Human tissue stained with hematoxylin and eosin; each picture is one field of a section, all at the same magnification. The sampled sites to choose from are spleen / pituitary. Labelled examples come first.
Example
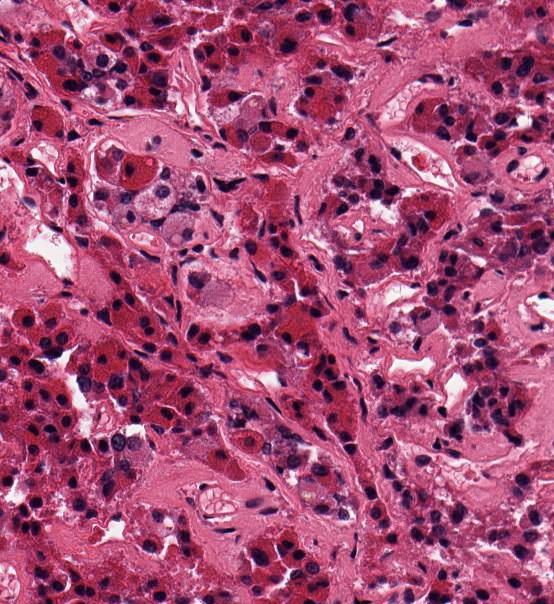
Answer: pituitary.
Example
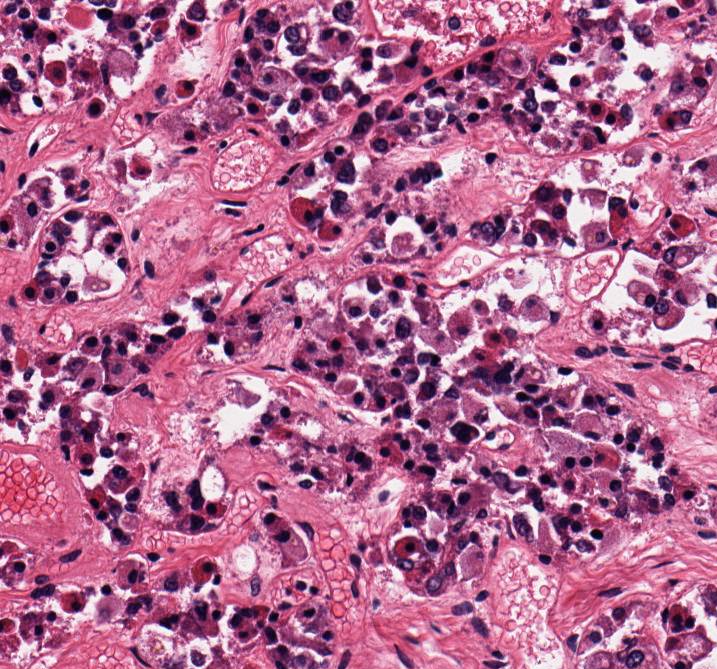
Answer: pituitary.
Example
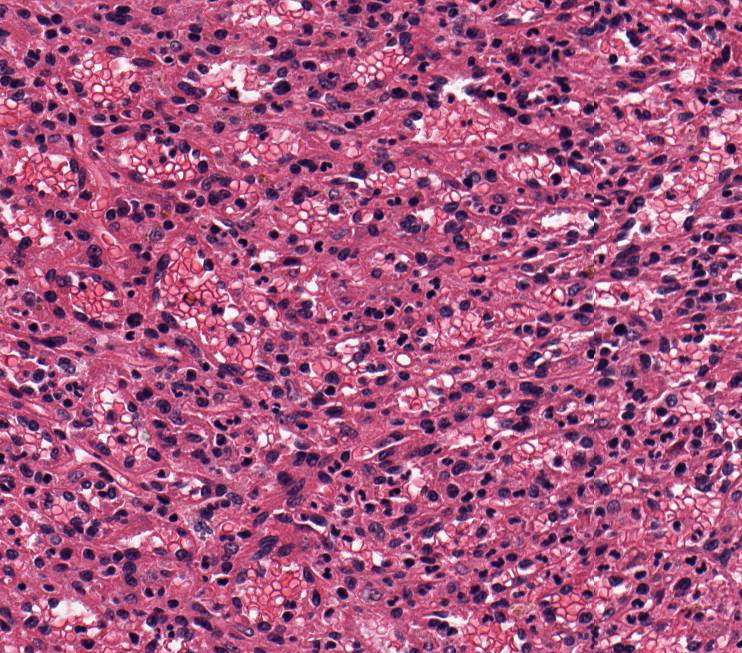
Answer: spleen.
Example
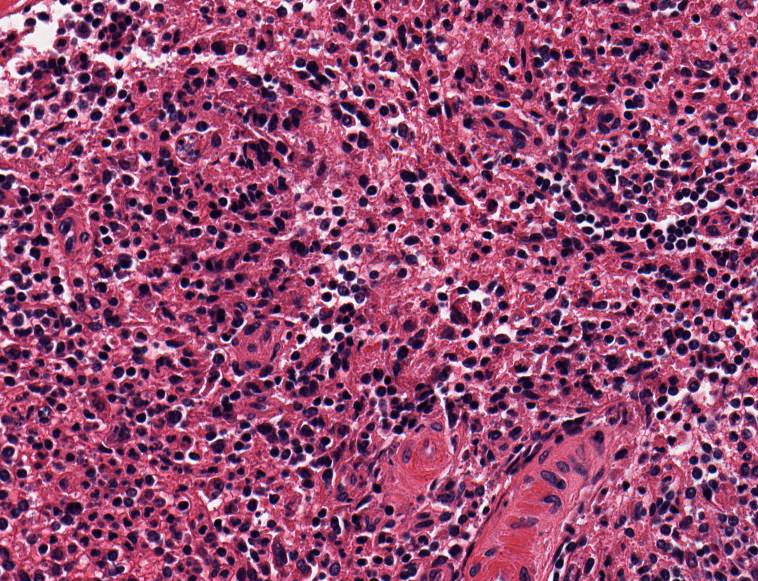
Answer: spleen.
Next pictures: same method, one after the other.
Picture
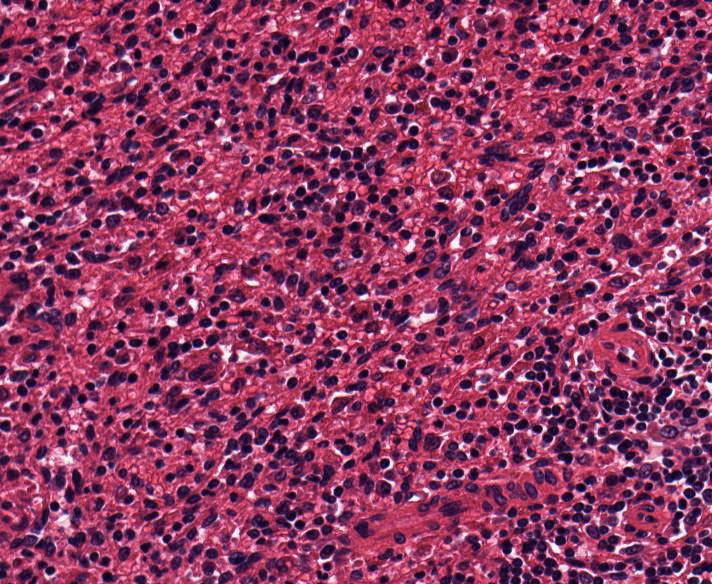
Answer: spleen.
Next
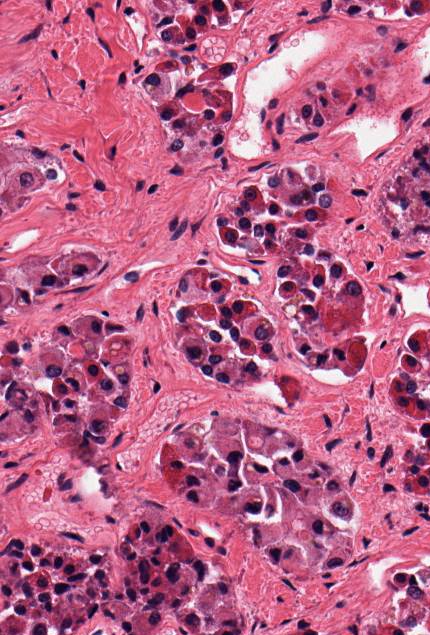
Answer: pituitary.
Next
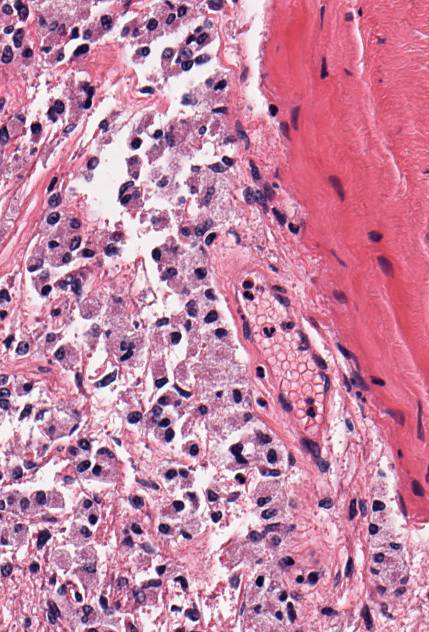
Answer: pituitary.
